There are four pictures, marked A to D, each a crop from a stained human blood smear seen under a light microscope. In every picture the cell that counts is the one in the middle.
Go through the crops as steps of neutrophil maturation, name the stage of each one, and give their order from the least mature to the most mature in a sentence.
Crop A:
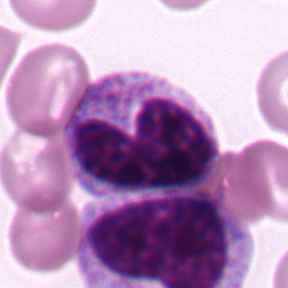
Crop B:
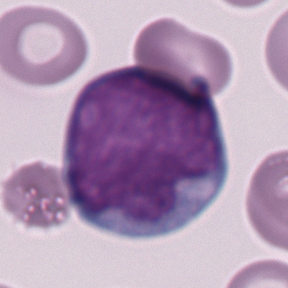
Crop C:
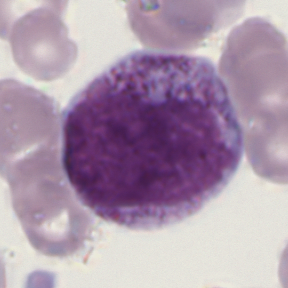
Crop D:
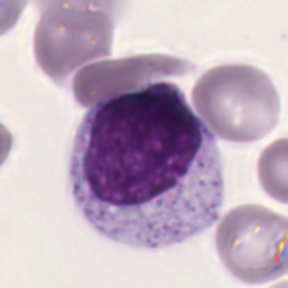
Ranked in ascending maturity, the crops are crop B (a blast), crop C (a promyelocyte), crop D (a myelocyte) and crop A (a band neutrophil).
